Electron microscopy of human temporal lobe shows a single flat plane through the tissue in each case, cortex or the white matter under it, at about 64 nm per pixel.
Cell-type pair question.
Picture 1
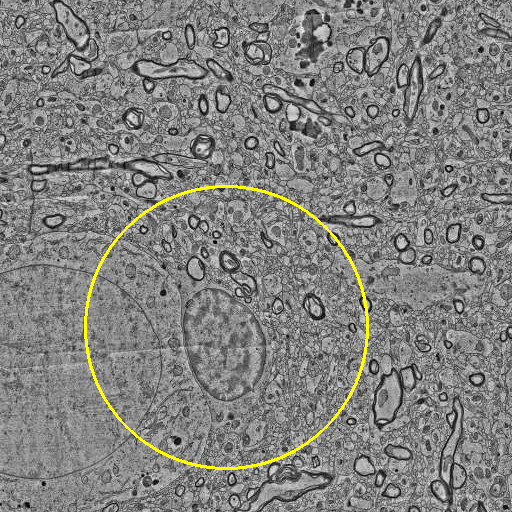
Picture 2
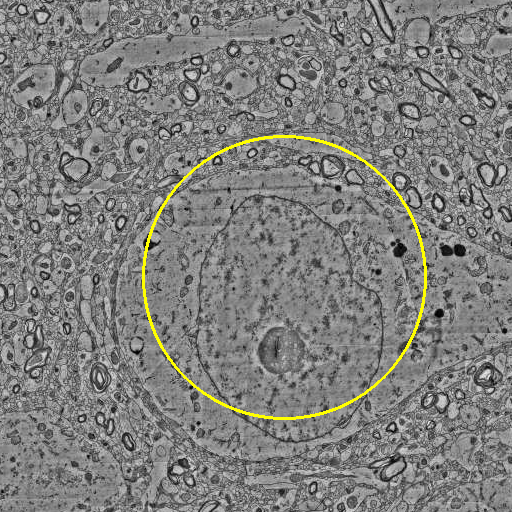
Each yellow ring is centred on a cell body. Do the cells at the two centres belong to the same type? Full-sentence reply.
No, the two cells belong to two types.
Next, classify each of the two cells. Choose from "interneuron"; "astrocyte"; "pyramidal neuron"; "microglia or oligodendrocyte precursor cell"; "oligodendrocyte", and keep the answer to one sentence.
In the first picture it is an oligodendrocyte; in the second it is a pyramidal neuron.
